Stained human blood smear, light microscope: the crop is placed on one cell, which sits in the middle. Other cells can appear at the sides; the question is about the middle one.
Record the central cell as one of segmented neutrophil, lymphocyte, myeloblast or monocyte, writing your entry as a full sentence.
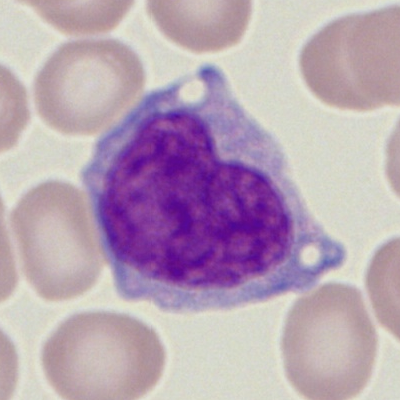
To answer, the cell in the center of the crop is a monocyte.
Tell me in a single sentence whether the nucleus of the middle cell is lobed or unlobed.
See how the nucleus sits as one compact round, oval or kidney-shaped mass.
